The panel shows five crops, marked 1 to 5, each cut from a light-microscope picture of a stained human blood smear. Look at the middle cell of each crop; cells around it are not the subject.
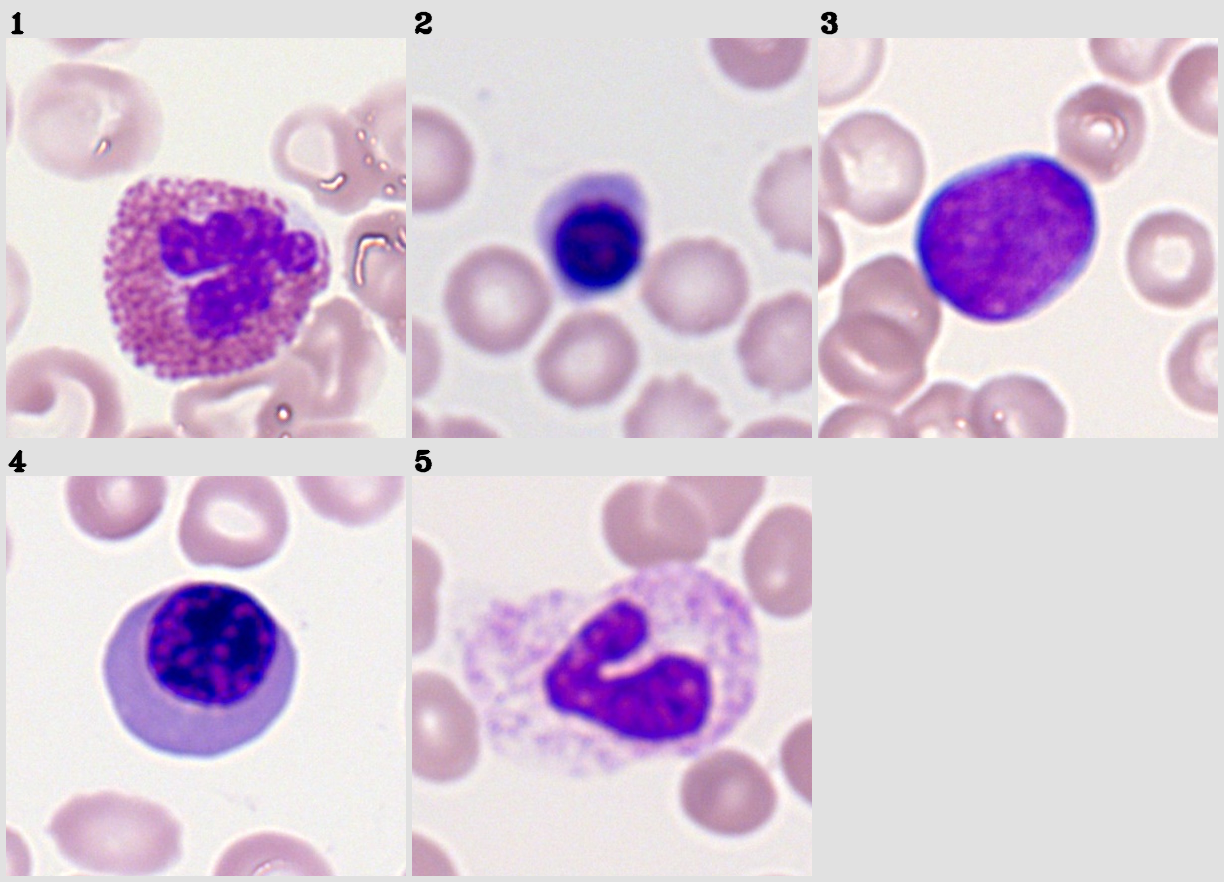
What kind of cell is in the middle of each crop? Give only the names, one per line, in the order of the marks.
eosinophil
erythroblast
myeloblast
erythroblast
band neutrophil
